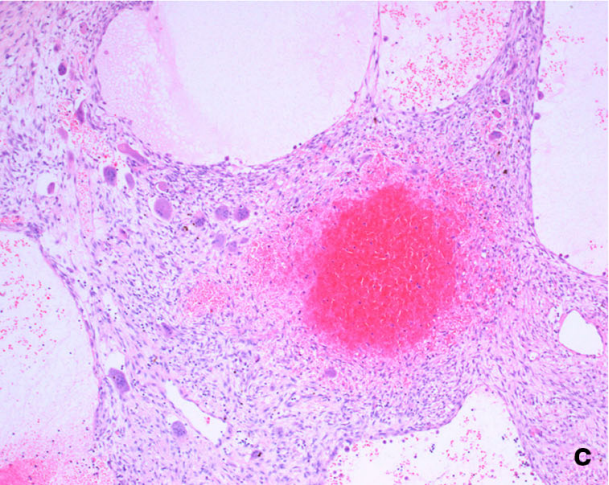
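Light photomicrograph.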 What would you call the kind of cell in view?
osteoclasts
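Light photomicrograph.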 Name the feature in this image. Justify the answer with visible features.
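Large rounded spaces with pale contents and red blood cells surround the tissue. The tissue between them forms septa of spindle cells. On this evidence: Cystic spaces.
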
